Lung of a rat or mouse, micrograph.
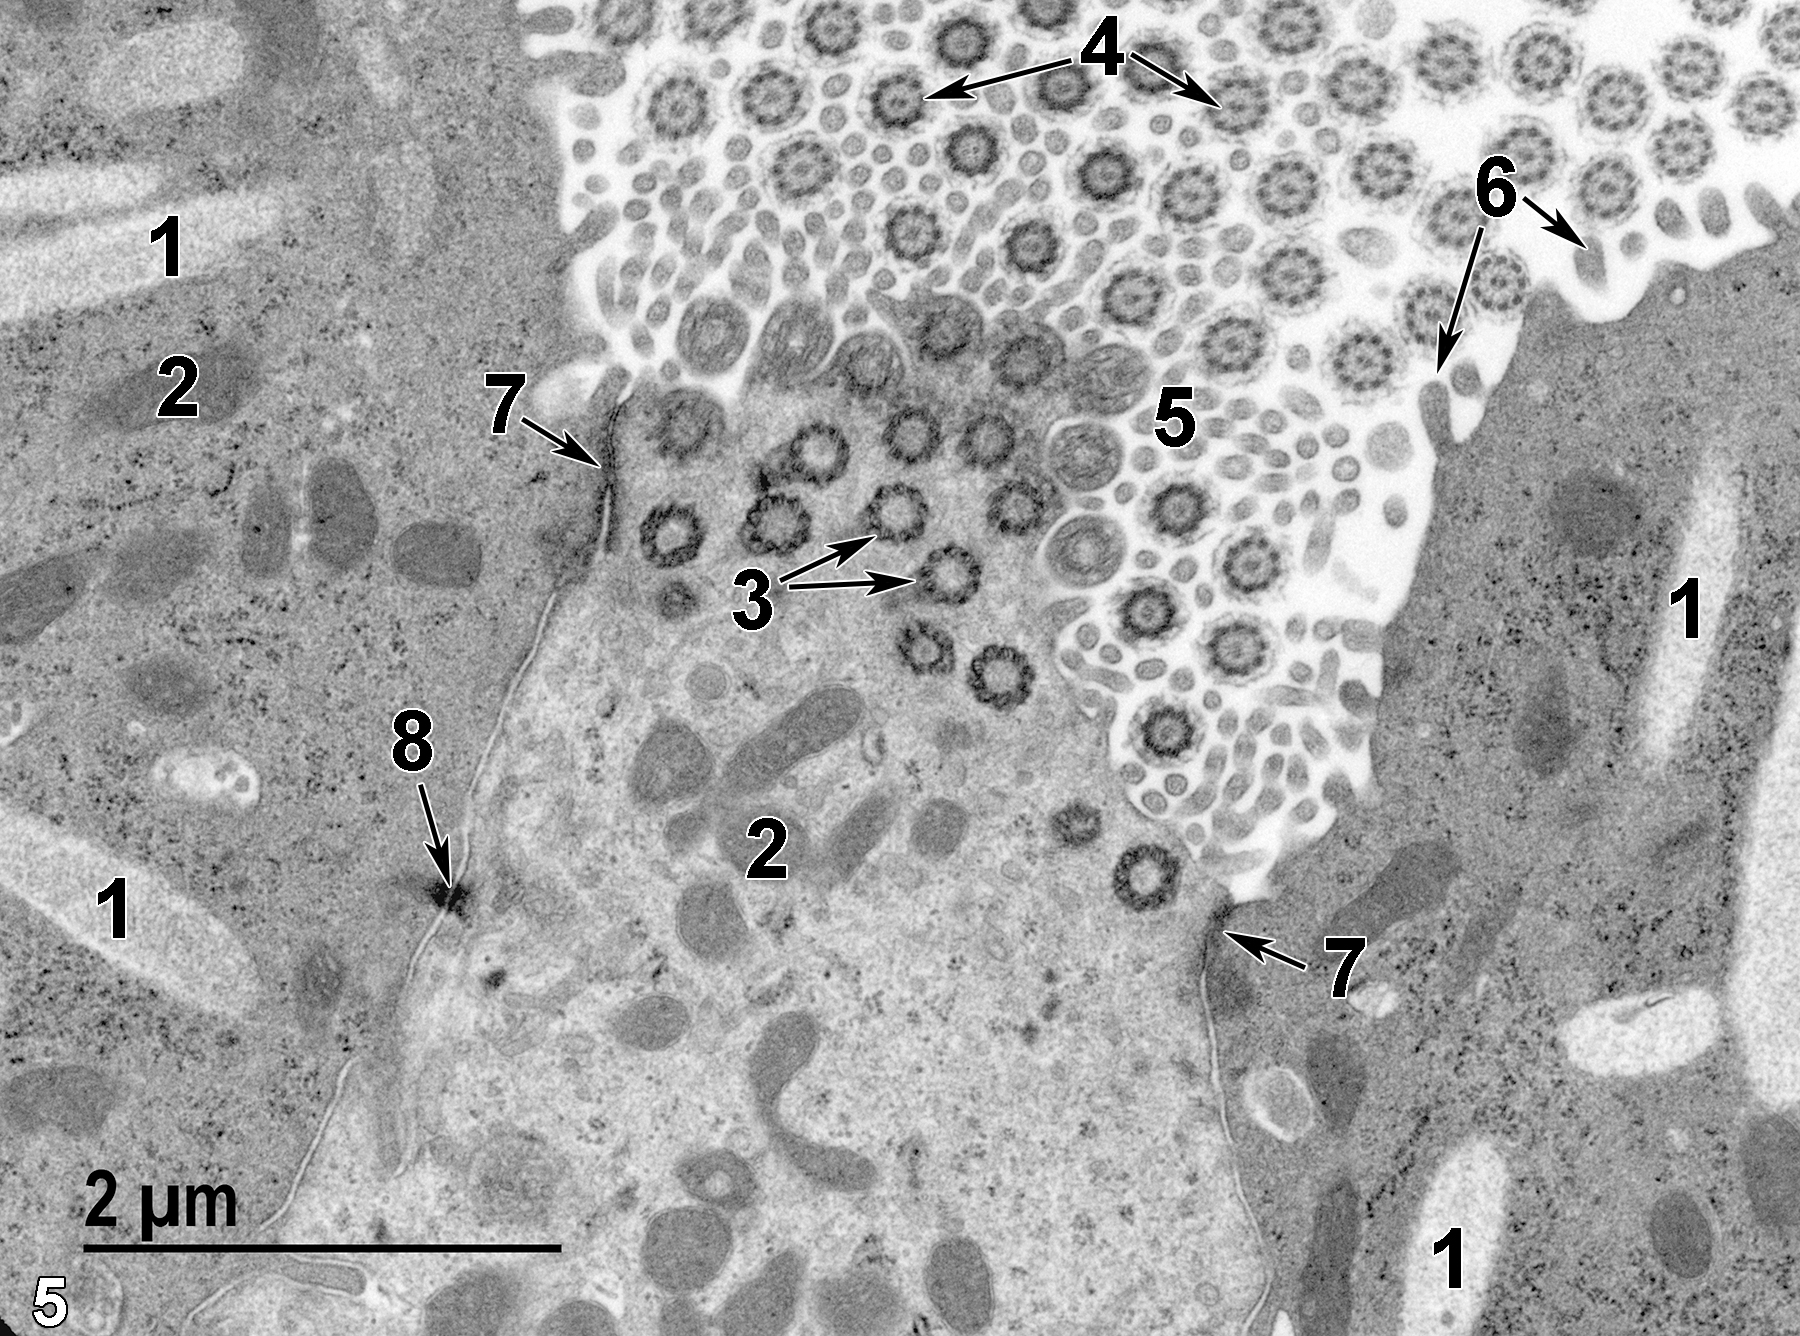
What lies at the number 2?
2 marks the mitochondria.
